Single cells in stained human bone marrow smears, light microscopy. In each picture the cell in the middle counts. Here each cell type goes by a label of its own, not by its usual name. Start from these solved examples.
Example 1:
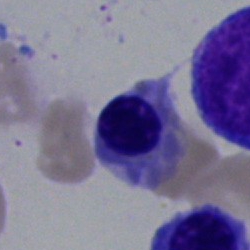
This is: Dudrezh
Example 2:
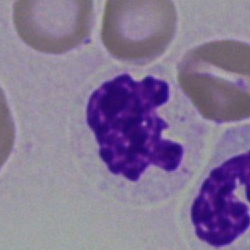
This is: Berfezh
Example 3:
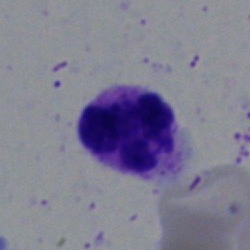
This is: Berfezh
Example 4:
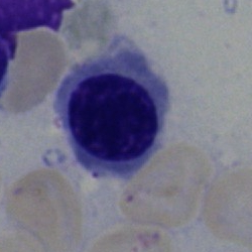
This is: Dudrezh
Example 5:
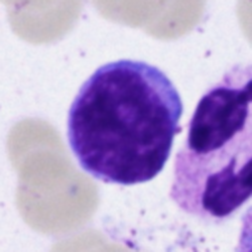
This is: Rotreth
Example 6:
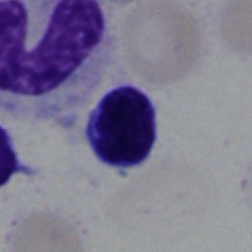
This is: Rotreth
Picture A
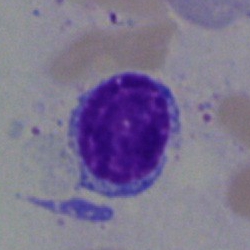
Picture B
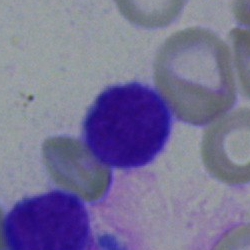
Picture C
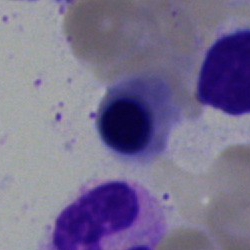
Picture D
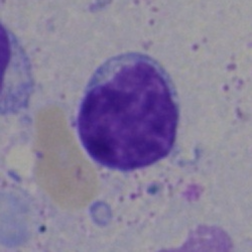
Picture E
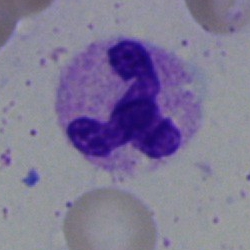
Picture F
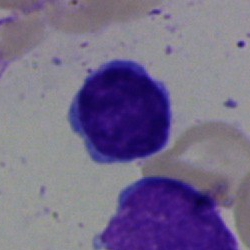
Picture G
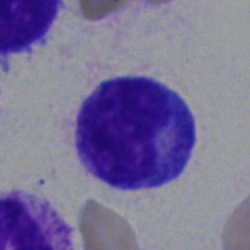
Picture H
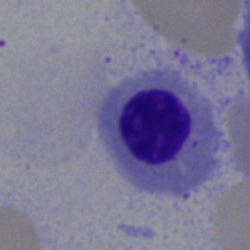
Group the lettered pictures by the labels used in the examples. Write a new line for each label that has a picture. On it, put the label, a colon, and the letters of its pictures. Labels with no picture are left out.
Dudrezh: C, H
Berfezh: E
Rotreth: A, B, D, F, G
